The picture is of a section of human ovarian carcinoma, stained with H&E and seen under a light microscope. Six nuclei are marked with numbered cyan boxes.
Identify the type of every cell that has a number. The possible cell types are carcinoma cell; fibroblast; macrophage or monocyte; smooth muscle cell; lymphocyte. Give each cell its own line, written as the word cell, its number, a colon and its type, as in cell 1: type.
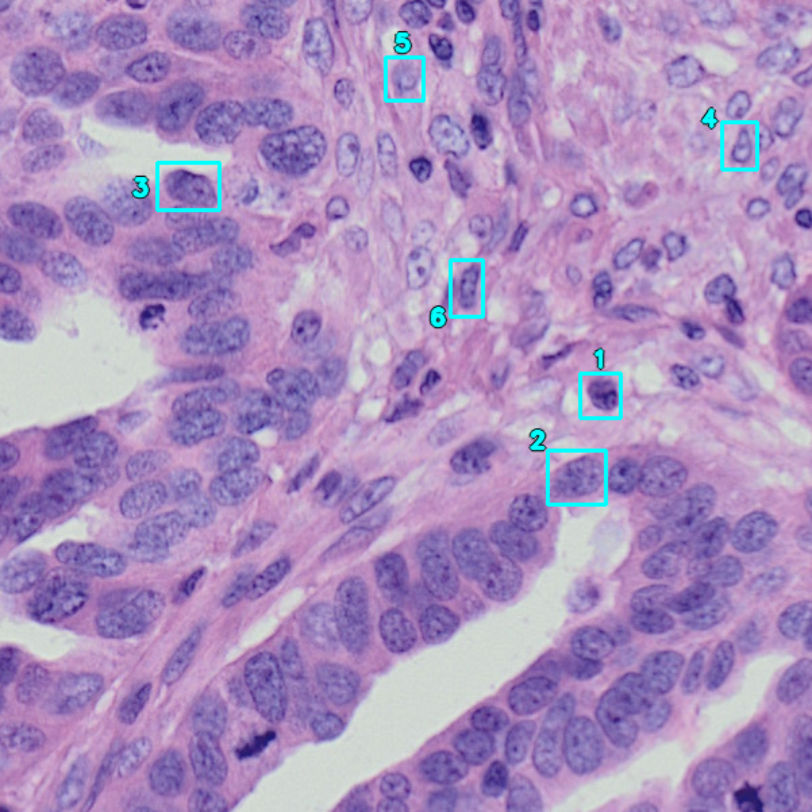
cell 1: lymphocyte
cell 2: carcinoma cell
cell 3: carcinoma cell
cell 4: fibroblast
cell 5: fibroblast
cell 6: macrophage or monocyte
